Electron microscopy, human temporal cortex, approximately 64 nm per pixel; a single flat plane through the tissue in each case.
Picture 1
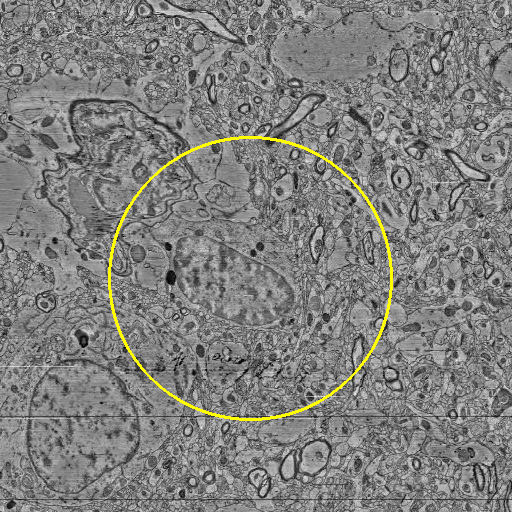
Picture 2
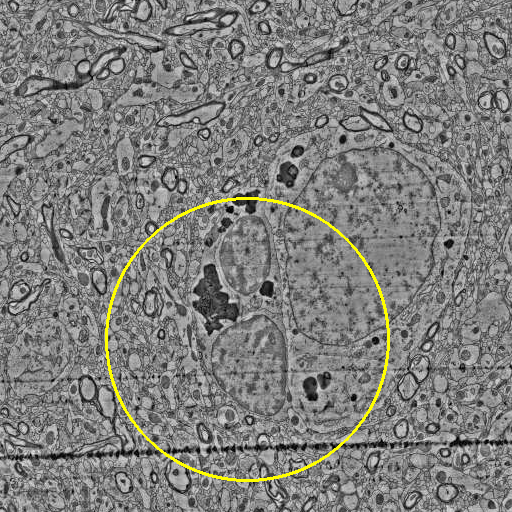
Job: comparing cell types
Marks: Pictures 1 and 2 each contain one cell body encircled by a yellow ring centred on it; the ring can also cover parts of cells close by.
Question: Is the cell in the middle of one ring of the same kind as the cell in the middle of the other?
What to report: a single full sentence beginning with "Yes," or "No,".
Yes, the cell at the ring centre in Picture 1 and its partner in Picture 2 are of one kind.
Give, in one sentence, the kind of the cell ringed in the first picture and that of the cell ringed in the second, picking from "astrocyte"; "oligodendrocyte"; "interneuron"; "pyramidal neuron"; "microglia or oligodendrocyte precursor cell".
Both the first and the second picture show an oligodendrocyte in the ring.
